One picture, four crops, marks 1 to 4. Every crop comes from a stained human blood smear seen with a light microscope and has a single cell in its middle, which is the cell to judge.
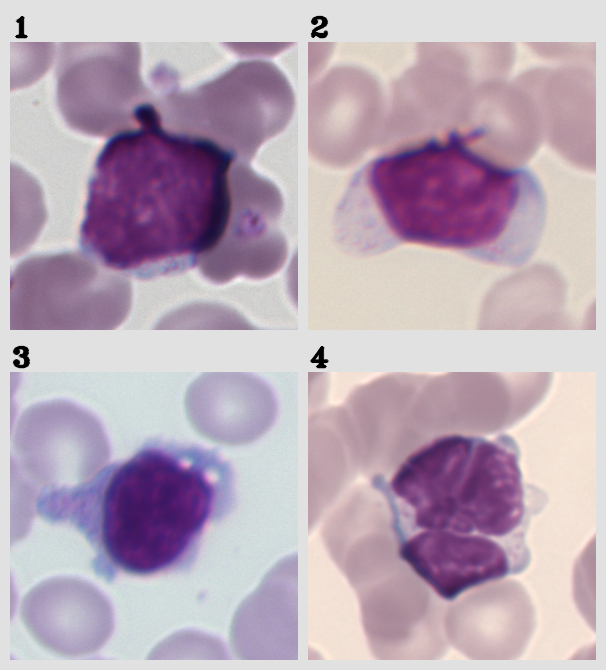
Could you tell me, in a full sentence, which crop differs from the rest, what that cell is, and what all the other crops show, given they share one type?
Just crop 3 is a typical lymphocyte; all the other crops show large granular lymphocytes.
